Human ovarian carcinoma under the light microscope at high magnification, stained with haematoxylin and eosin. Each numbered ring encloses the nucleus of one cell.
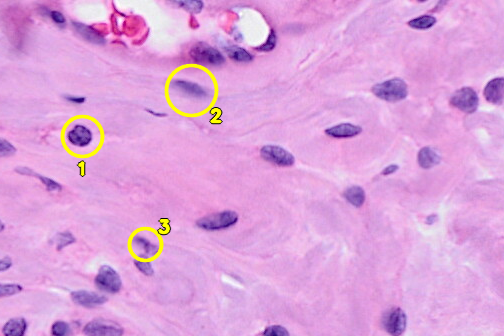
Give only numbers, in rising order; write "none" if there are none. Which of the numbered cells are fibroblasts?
2, 3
